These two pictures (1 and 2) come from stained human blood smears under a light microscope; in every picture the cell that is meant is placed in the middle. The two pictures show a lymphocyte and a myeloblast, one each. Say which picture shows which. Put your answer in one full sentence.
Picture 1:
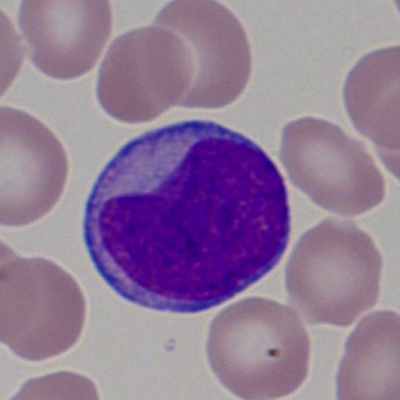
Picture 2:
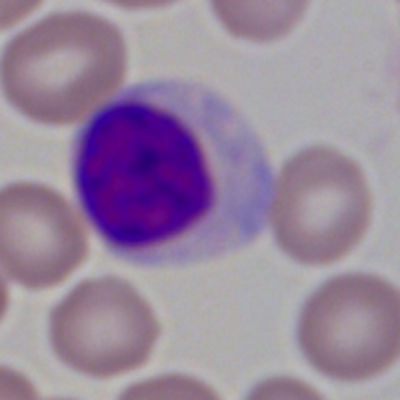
Picture 1 shows a myeloblast and picture 2 shows a lymphocyte.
